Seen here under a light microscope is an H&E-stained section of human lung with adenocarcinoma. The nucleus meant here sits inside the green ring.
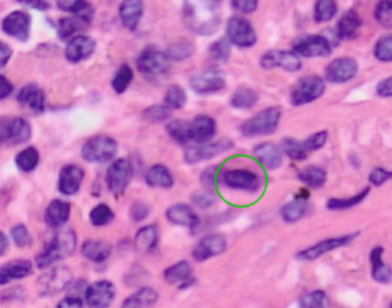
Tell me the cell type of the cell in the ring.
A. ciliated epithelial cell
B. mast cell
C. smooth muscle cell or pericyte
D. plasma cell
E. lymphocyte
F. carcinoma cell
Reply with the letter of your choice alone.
D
